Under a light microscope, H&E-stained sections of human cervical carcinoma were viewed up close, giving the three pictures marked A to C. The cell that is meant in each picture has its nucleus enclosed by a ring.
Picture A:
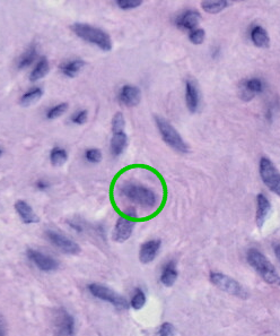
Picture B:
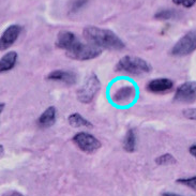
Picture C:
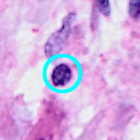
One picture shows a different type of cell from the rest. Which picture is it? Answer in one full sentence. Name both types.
Unlike the rest, which show fibroblasts, picture C shows a lymphocyte.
